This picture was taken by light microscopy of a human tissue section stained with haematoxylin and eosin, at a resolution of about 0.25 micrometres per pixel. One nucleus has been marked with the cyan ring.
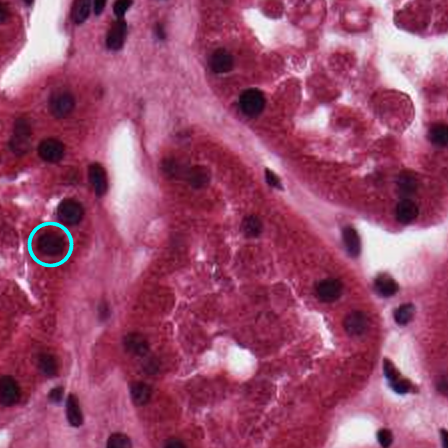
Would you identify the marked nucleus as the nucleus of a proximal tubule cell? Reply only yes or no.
yes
